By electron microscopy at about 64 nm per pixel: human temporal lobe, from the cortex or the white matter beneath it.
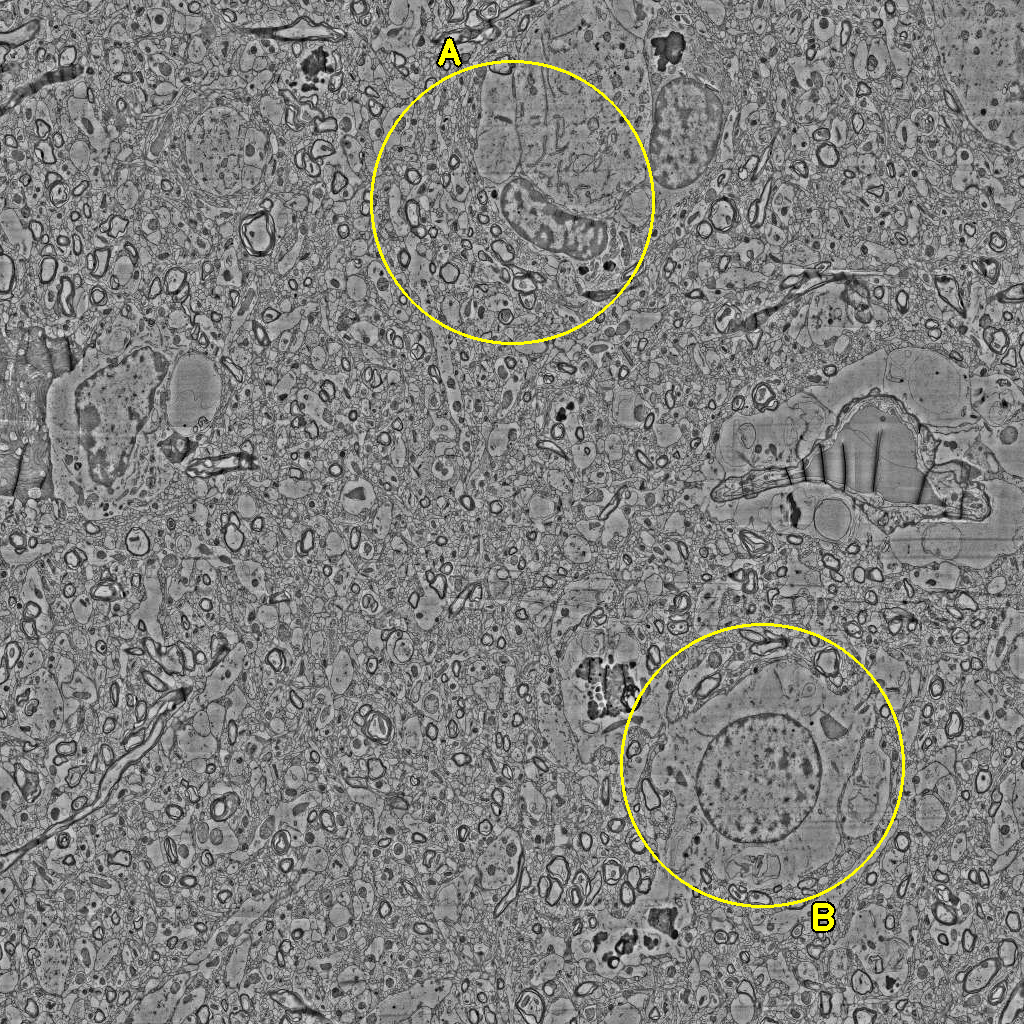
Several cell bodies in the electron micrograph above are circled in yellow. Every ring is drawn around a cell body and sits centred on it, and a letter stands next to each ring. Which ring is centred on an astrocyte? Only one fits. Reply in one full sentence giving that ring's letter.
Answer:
The ring centred on the cell asked for is Ring B.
